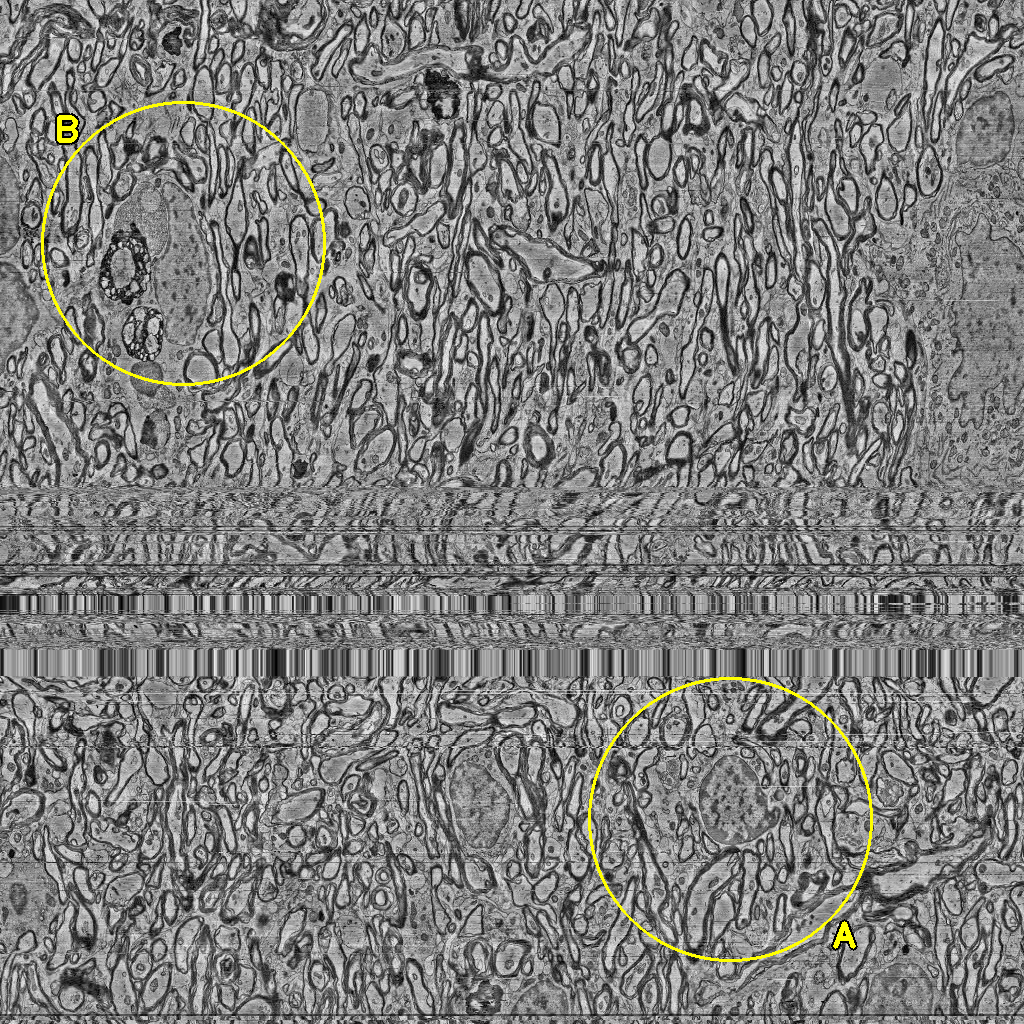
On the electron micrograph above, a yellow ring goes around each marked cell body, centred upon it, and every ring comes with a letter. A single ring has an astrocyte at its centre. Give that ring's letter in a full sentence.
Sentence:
The ring holding the cell asked for at its centre bears the letter B.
